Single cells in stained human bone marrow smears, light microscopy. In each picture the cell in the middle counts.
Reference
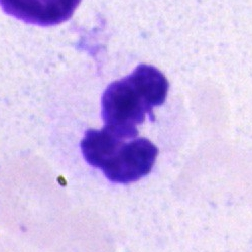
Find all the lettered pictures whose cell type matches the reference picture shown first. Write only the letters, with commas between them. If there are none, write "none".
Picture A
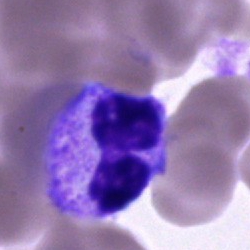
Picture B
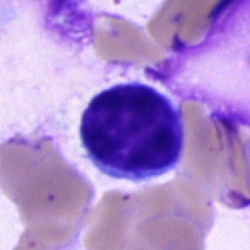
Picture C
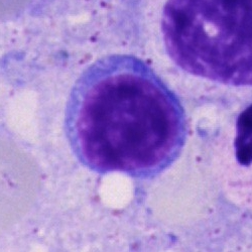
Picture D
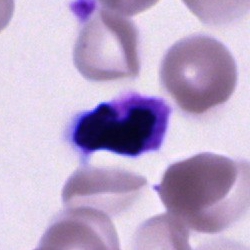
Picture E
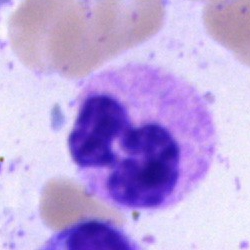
A, D, E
